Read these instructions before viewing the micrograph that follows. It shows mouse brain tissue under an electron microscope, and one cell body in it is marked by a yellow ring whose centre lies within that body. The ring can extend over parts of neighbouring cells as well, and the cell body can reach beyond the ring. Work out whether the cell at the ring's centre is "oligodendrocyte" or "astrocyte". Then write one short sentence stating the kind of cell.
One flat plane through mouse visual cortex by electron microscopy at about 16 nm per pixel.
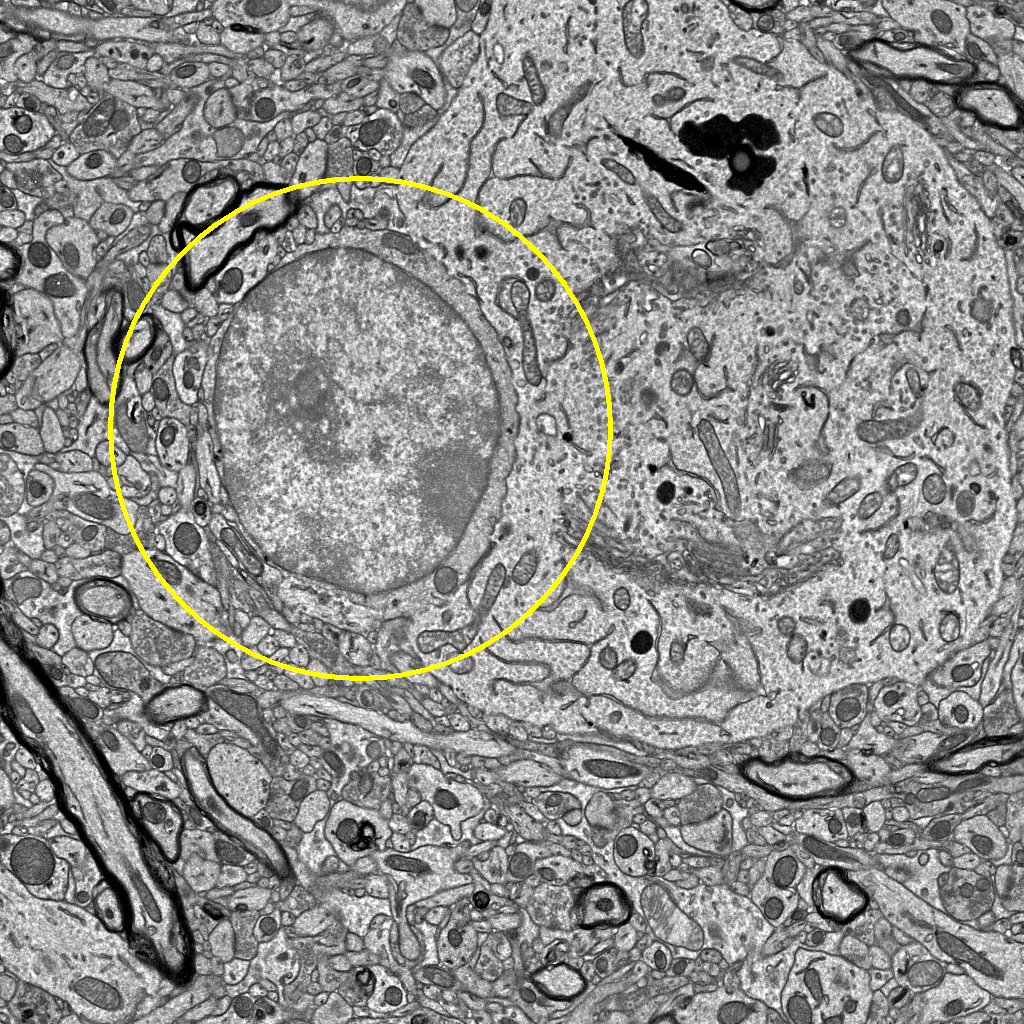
The cell at the ring's centre is an oligodendrocyte.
